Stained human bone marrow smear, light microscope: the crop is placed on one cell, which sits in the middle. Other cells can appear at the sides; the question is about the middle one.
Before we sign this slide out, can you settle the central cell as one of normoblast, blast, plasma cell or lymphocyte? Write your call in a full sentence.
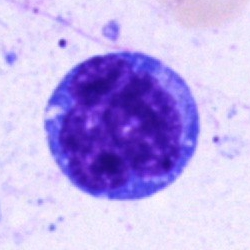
The single cell at the center of the crop is a blast.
